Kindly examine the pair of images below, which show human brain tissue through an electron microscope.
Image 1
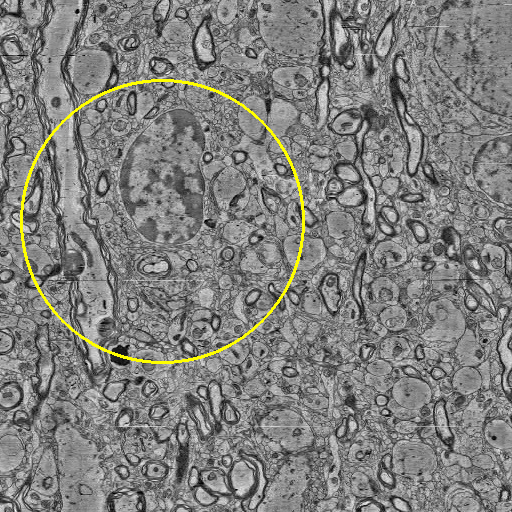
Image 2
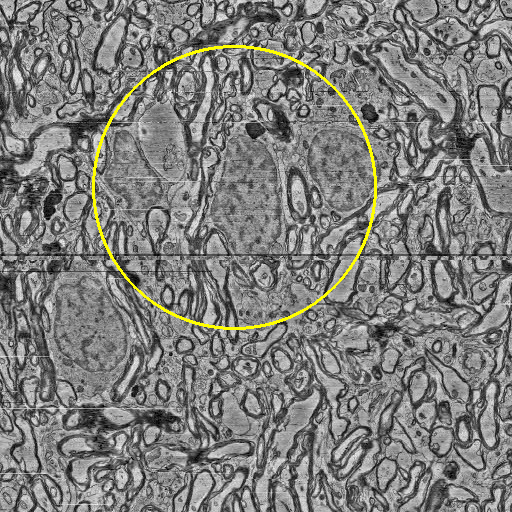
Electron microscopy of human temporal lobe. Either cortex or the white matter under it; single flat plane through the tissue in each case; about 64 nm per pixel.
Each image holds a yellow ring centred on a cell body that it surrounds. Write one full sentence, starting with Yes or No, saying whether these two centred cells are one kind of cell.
No, the cells at the centres of the yellow rings belong to two kinds of cell.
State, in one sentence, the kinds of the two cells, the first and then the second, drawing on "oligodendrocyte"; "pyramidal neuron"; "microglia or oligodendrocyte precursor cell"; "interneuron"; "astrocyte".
The ring in the second picture is centred on an oligodendrocyte, the ring in the first on a microglial cell or oligodendrocyte precursor cell.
